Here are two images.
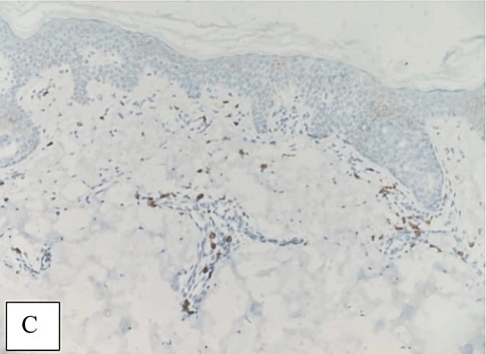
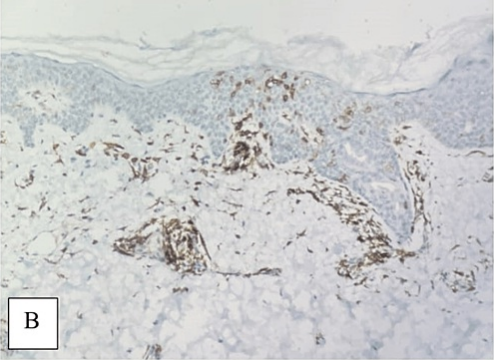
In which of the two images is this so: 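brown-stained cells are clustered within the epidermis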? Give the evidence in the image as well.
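First image: the epidermis is nearly free of brown cells; scattered brown cells lie mostly in the dermis.
The second image.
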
